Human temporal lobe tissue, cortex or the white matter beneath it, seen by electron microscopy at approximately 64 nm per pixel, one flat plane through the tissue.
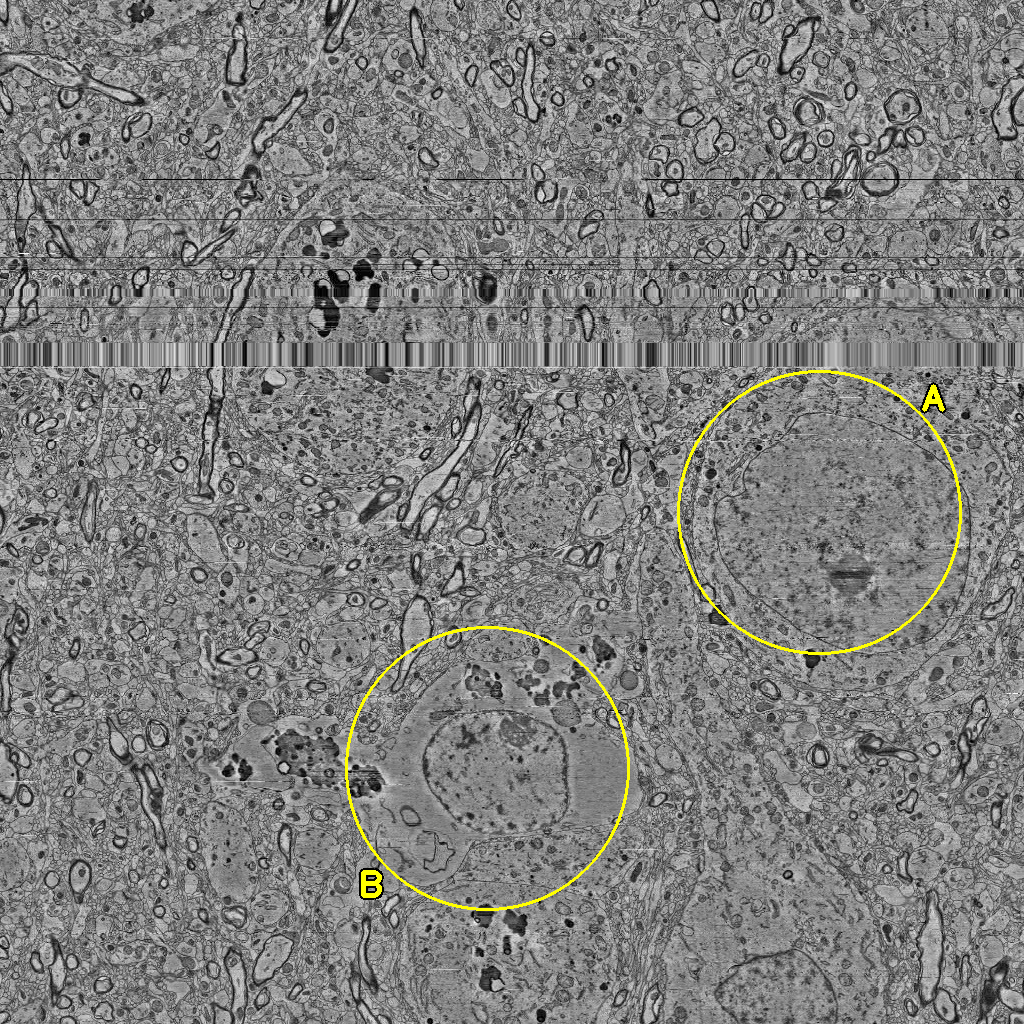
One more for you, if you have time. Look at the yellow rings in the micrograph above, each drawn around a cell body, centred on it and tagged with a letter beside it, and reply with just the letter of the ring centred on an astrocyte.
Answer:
B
